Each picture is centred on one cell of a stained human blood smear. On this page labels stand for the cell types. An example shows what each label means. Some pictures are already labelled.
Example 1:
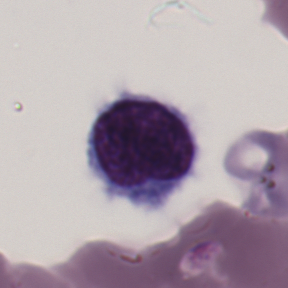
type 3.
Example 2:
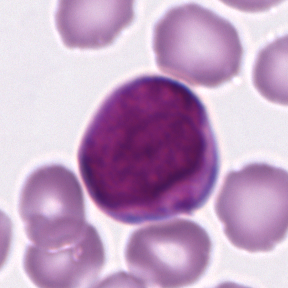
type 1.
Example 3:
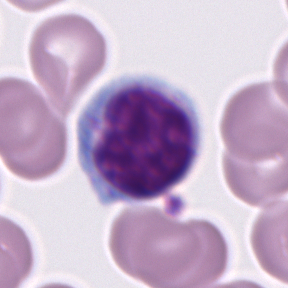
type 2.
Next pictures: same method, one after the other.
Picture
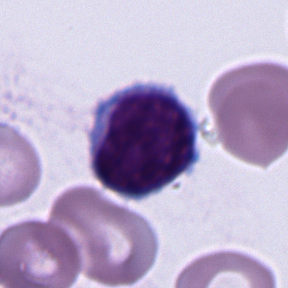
type 2.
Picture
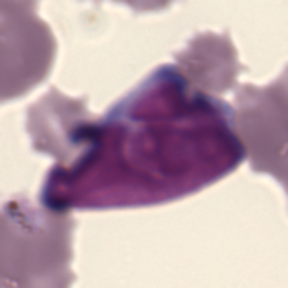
type 1.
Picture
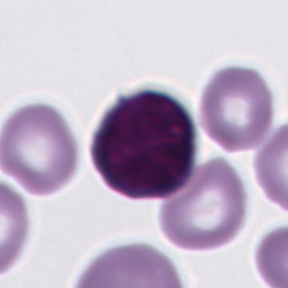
type 1.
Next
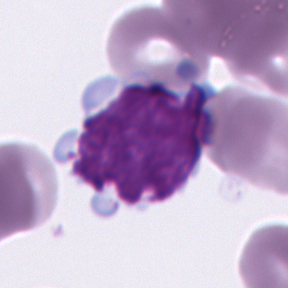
type 2.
